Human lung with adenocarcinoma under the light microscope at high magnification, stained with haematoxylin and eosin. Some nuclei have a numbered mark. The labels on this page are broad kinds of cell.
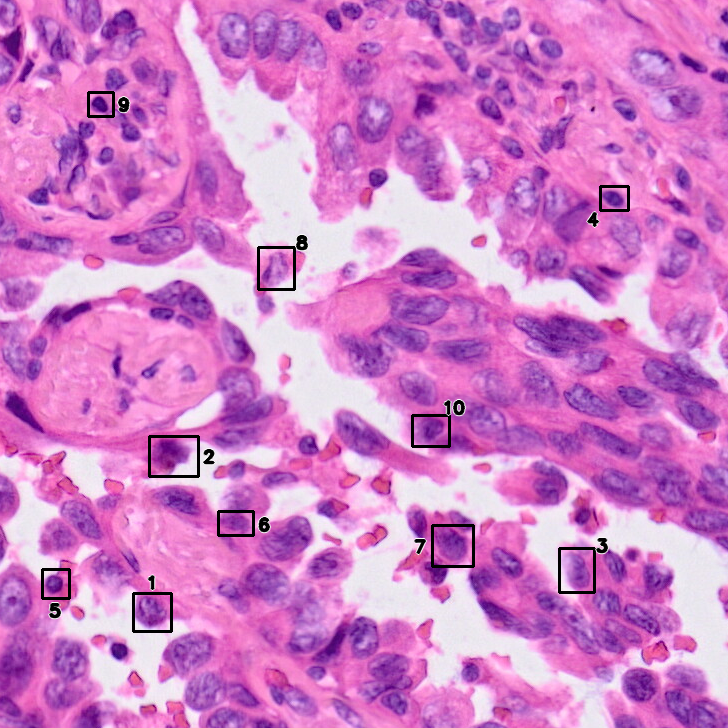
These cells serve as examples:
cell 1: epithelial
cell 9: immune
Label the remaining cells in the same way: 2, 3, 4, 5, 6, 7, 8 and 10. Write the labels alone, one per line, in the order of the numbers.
epithelial
epithelial
immune
immune
epithelial
epithelial
immune
epithelial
